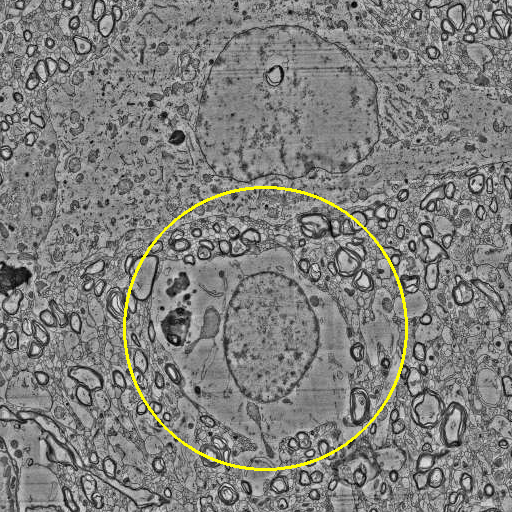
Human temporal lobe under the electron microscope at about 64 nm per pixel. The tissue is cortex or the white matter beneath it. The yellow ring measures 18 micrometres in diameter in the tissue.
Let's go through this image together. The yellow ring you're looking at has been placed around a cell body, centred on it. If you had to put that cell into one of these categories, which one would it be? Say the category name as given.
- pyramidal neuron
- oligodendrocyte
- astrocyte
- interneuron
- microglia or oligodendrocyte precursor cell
astrocyte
